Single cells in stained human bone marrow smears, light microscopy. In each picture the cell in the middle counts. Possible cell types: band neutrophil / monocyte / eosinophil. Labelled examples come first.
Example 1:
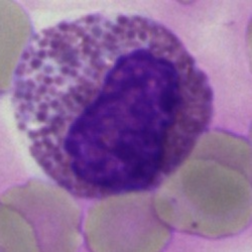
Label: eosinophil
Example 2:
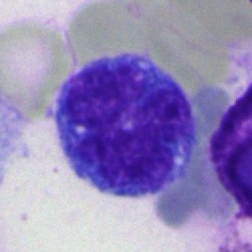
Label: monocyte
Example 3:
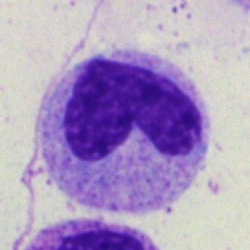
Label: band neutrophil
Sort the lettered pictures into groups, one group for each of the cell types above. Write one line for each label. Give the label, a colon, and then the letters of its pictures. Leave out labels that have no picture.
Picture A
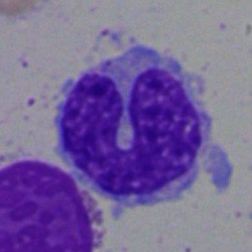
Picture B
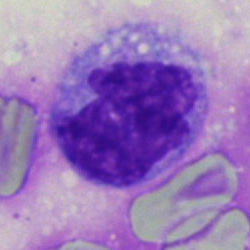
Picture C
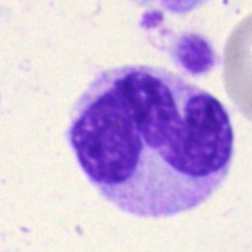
monocyte: A, B, C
